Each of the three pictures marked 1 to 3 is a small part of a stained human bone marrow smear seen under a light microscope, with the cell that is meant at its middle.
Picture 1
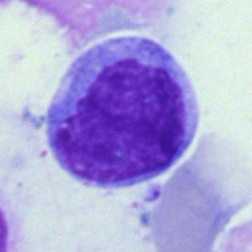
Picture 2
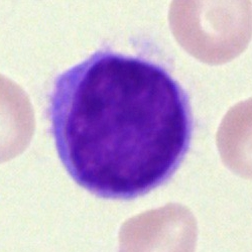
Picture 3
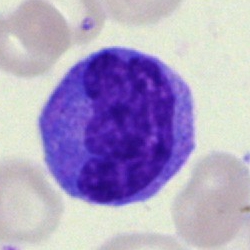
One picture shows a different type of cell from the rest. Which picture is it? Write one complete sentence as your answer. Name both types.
Picture 2 is the odd one out: it shows a hairy cell, while the others show monocytes.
